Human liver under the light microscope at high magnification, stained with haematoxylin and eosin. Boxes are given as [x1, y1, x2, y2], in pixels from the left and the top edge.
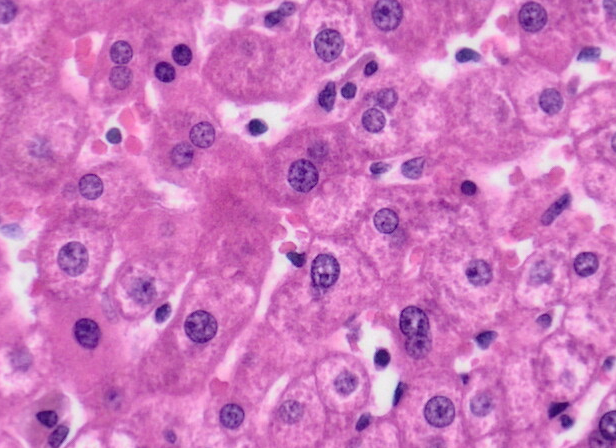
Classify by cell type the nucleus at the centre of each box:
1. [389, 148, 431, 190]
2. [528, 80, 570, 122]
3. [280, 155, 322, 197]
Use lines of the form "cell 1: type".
cell 1: Kupffer cell
cell 2: hepatocyte
cell 3: hepatocyte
